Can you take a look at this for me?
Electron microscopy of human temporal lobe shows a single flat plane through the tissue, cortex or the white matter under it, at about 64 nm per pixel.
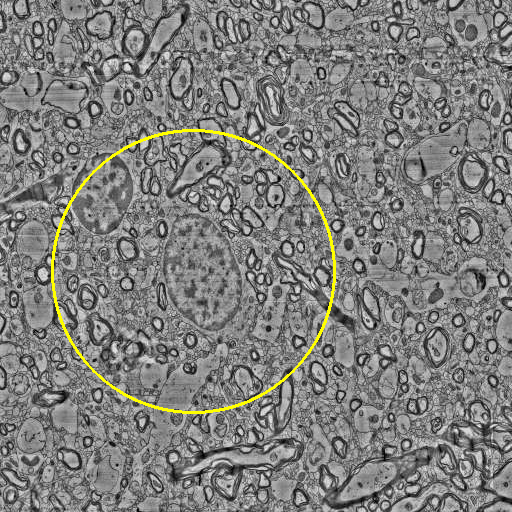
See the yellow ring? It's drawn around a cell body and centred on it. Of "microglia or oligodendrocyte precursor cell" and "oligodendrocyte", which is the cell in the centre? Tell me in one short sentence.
The one in the centre is an oligodendrocyte.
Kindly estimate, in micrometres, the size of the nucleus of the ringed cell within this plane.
In this plane, about 7 micrometres in length and 5 in width.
